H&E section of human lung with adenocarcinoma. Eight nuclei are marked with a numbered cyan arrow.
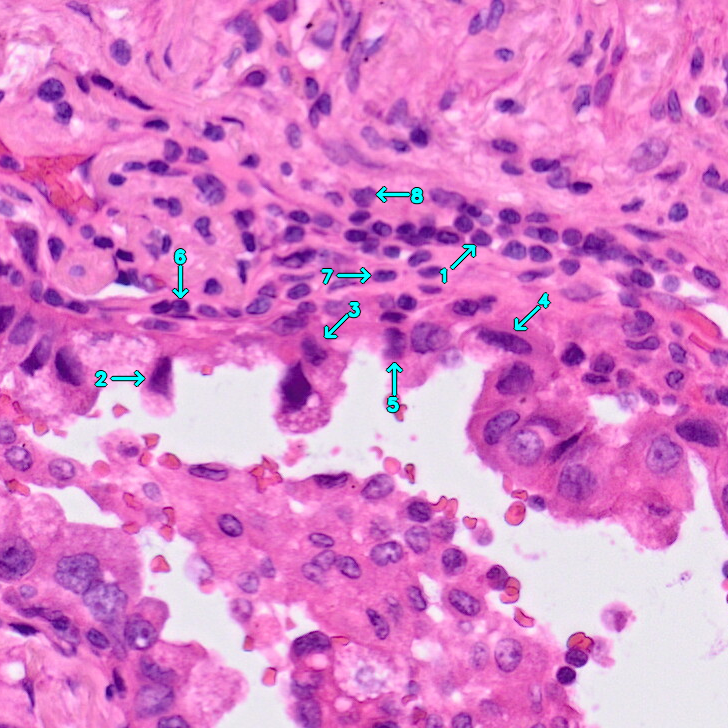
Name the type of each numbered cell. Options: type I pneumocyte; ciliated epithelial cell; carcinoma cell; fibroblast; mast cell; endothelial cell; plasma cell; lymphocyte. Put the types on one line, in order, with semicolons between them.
lymphocyte; carcinoma cell; carcinoma cell; carcinoma cell; carcinoma cell; lymphocyte; lymphocyte; lymphocyte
